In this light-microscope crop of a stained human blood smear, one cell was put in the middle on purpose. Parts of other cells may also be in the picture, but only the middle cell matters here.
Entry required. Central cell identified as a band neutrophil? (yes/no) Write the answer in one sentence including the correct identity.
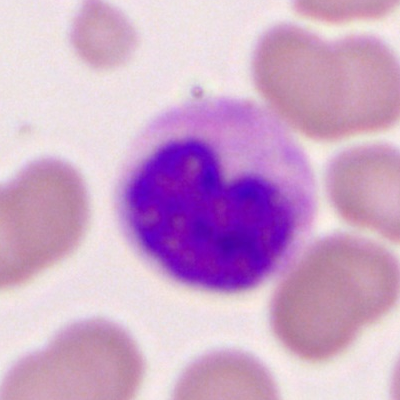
Yes, at the centre of the crop lies a band neutrophil.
